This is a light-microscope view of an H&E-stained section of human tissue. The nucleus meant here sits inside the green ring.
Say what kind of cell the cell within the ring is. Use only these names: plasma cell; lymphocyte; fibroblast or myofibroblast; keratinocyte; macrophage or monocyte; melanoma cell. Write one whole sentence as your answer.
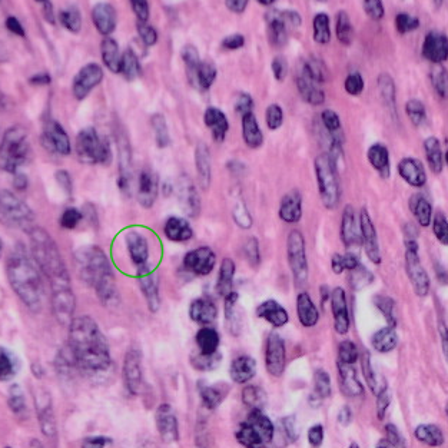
The cell meant here is a lymphocyte.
